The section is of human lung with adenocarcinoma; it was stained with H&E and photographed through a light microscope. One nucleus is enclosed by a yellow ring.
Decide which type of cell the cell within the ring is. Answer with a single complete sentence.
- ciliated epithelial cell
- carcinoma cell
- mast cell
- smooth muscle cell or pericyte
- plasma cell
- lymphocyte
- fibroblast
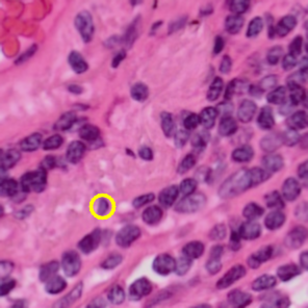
Within this tissue, the cell within the ring is a lymphocyte.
